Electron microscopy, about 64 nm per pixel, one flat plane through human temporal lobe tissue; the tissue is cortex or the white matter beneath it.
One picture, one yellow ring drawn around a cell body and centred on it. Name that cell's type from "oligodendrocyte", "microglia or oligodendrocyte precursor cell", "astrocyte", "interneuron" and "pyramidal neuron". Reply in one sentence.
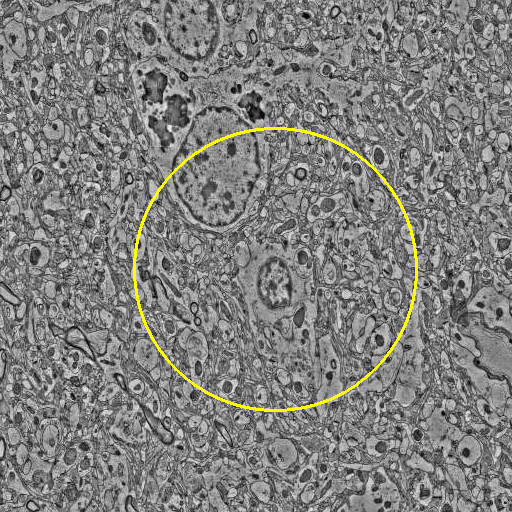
Centred in the ring is an astrocyte.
